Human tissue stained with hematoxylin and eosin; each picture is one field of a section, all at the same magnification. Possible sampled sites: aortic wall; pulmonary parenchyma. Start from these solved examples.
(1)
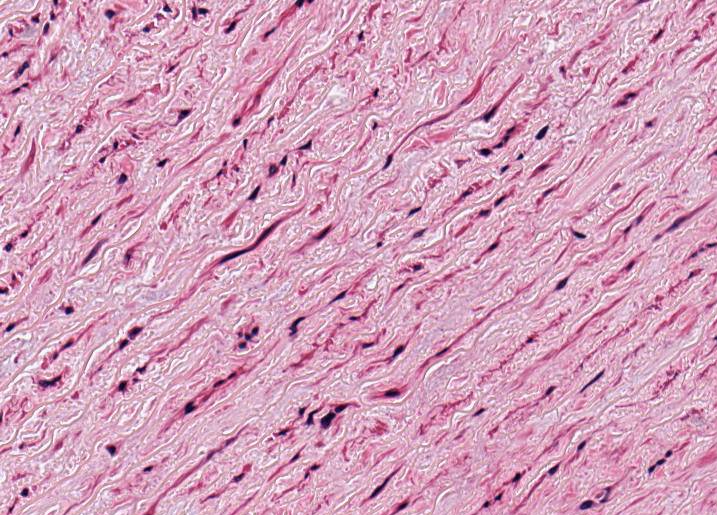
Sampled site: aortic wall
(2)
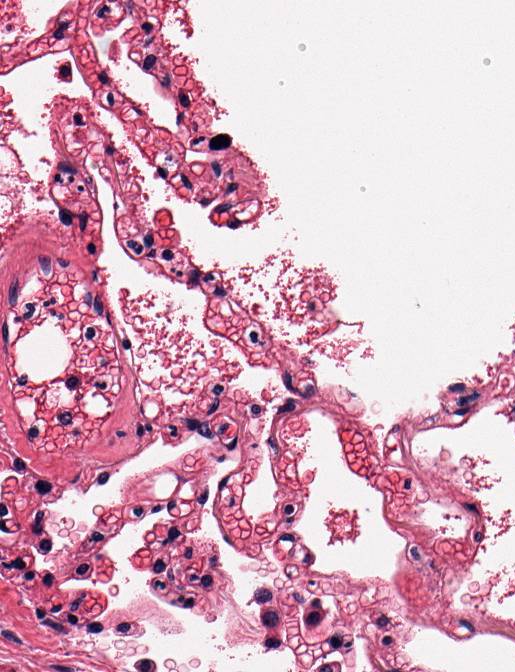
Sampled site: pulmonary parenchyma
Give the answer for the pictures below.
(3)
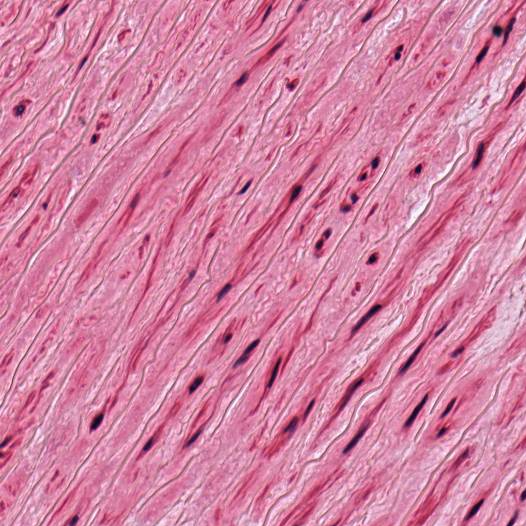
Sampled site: aortic wall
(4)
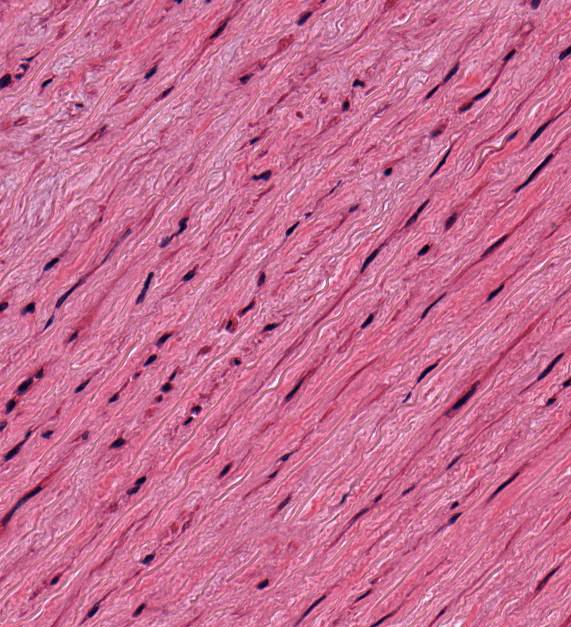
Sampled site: aortic wall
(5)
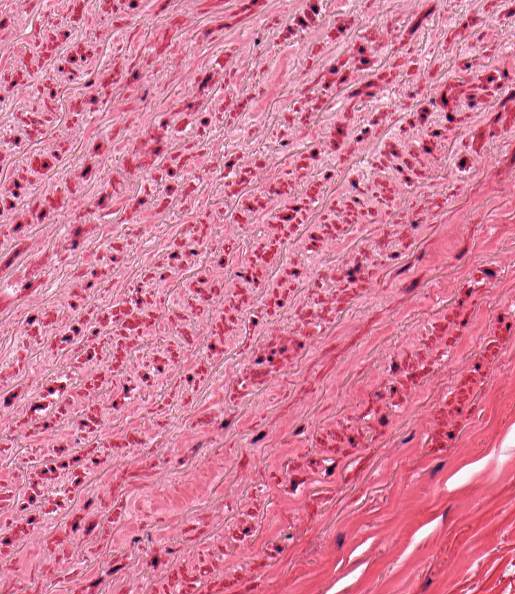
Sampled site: aortic wall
